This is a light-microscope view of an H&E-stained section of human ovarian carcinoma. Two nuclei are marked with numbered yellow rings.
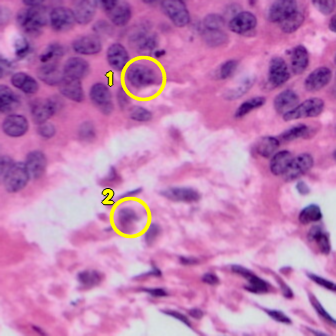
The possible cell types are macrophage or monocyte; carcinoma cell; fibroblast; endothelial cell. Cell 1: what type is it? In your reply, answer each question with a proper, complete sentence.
Cell 1 is classified as a carcinoma cell.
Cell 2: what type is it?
Identified by the number 2, the cell is a fibroblast.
